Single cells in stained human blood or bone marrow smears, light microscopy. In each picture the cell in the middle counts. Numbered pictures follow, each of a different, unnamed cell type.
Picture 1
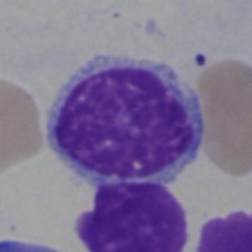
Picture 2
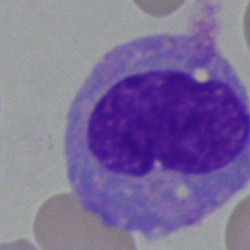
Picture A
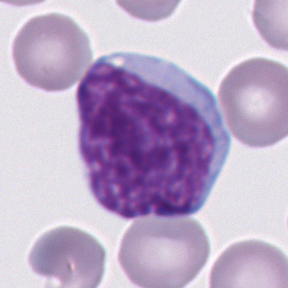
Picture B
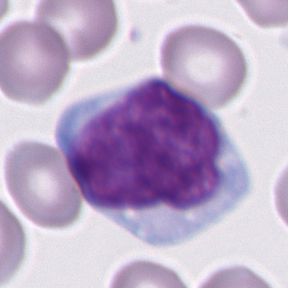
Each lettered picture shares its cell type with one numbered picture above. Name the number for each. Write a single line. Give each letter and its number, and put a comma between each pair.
A 1, B 1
